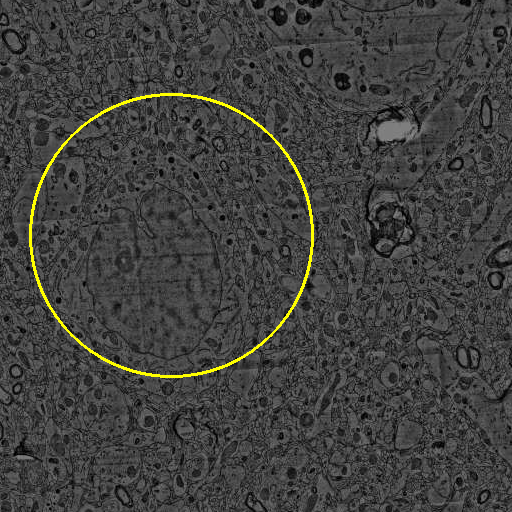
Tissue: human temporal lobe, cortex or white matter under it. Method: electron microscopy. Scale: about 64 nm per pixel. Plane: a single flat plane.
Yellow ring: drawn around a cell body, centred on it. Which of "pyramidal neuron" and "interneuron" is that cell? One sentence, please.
That cell body is from an interneuron.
